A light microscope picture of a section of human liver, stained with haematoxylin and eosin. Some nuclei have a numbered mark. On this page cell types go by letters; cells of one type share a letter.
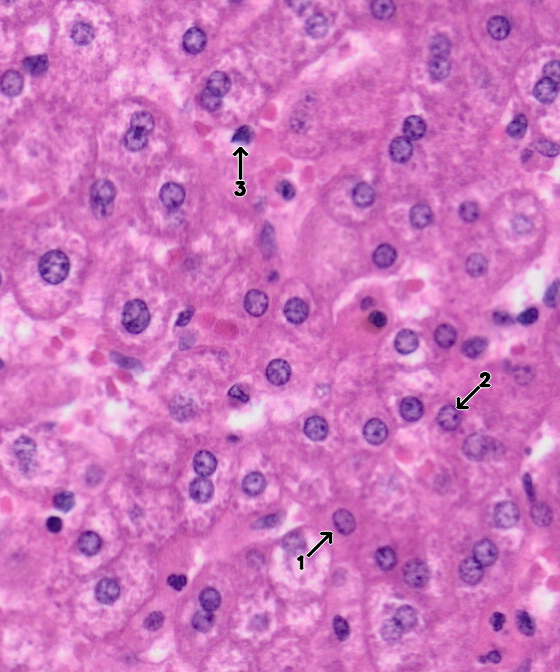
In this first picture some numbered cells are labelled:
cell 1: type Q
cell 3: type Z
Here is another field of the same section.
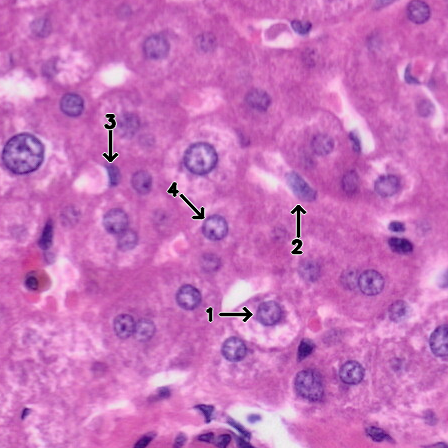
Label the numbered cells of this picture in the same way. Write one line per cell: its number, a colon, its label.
1: type Q
2: type Z
3: type Z
4: type Q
